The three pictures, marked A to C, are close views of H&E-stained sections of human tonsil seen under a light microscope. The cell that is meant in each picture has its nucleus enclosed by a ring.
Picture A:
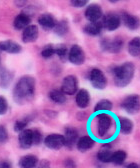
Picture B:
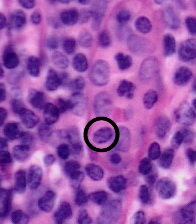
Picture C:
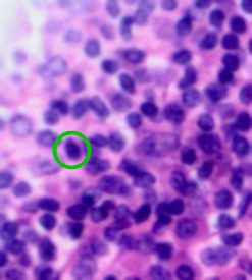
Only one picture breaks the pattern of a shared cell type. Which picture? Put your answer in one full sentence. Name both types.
Unlike the rest, which show small lymphocytes, picture B shows an endothelial cell.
